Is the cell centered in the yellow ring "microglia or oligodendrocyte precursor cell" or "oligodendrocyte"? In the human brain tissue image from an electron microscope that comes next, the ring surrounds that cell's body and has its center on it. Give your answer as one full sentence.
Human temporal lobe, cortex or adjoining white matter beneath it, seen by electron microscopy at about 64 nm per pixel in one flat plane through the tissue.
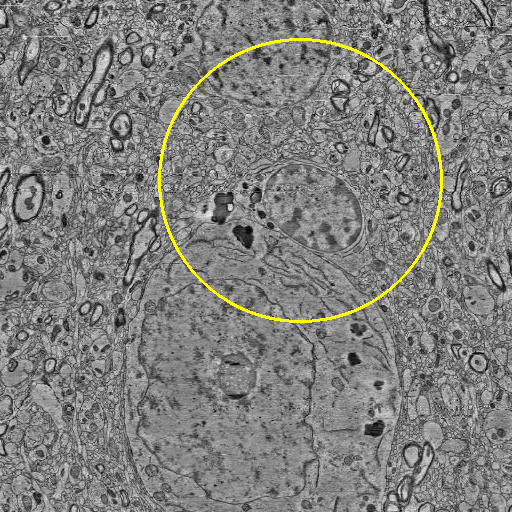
The cell at the center of the yellow ring is a microglial cell or oligodendrocyte precursor cell in the micrograph.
